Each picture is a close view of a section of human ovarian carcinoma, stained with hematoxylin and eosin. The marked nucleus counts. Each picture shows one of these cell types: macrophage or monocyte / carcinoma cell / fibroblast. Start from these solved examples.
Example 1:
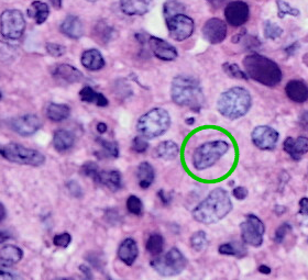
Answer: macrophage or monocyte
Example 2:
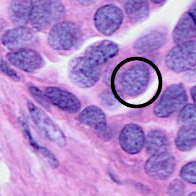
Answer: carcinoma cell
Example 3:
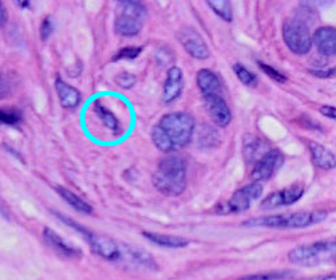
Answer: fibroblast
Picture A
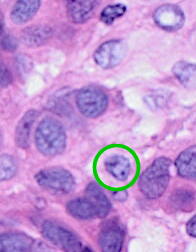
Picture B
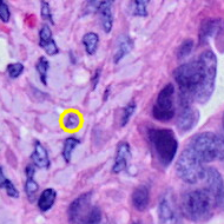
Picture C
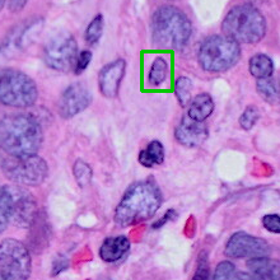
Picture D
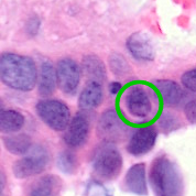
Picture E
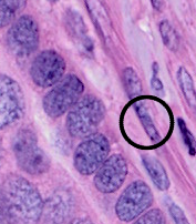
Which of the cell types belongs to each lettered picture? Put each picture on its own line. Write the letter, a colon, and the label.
A: macrophage or monocyte
B: fibroblast
C: macrophage or monocyte
D: carcinoma cell
E: fibroblast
